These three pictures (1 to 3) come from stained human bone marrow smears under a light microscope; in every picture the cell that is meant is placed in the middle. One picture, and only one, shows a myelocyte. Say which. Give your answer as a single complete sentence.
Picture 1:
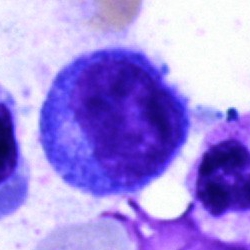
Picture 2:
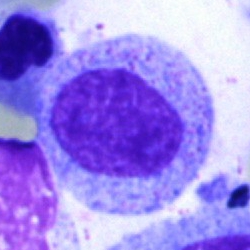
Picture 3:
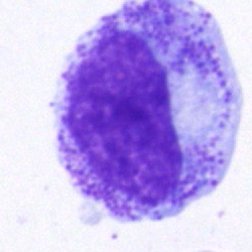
The picture with the myelocyte is 2.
